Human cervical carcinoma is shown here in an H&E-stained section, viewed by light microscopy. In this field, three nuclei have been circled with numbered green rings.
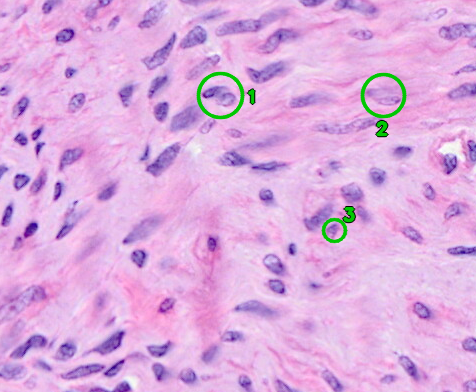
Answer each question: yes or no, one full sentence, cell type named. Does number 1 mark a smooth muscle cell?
No, cell 1 is not a smooth muscle cell at all but a fibroblast.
